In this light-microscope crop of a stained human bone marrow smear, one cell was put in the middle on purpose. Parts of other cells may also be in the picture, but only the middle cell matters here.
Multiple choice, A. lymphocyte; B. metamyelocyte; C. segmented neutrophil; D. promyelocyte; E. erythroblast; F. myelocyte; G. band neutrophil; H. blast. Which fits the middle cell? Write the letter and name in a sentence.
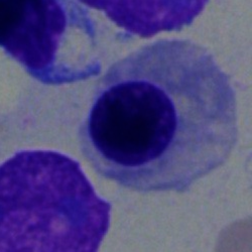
The correct response is option E, naming the cell in the middle as an erythroblast.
